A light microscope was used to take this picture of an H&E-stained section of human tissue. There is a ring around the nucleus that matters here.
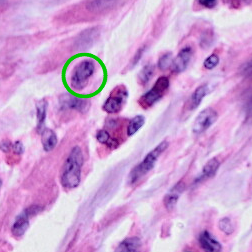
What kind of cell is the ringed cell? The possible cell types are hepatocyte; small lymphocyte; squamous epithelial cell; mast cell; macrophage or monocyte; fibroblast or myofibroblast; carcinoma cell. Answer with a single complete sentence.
The expected answer is simply that the ringed cell is a macrophage or monocyte.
